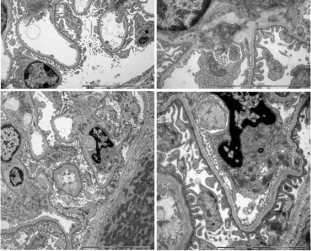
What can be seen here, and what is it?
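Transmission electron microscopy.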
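These electron micrographs show the filtering tuft of a glomerulus, with open capillary lumens bordered by thin dense membranes. Cells with dark, irregular nuclei lie between and against the capillary loops. Along the outer side of the membranes small processes of the covering cells rest on the dense band. The higher-magnification images show the membrane and the cells beside it more closely.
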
